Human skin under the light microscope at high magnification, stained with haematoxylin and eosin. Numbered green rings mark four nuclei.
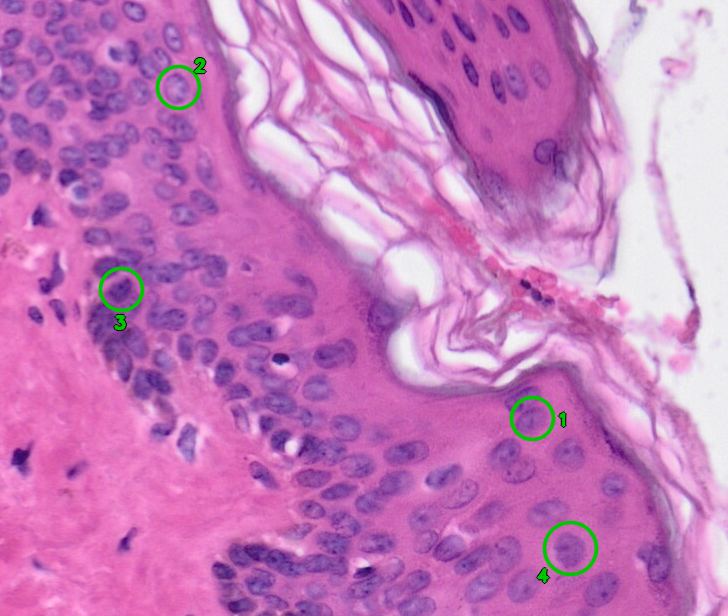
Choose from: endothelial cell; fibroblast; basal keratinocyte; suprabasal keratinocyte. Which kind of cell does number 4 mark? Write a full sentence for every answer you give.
In this section, number 4 marks a suprabasal keratinocyte.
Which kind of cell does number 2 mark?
The cell identified by the number 2 is a suprabasal keratinocyte.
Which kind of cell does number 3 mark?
In the marked set, the cell given number 3 is a basal keratinocyte.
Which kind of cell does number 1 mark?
The marked nucleus 1 is that of a suprabasal keratinocyte.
